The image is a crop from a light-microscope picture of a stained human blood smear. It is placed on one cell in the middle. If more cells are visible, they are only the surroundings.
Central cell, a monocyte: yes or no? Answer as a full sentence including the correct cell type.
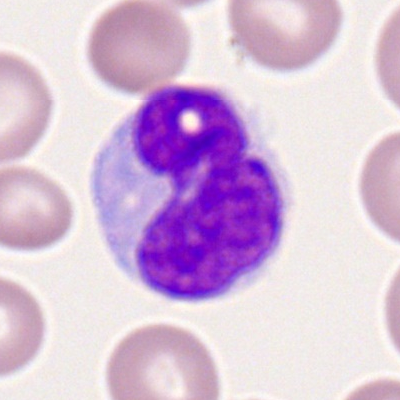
Yes, the cell in the center of this crop is a monocyte.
